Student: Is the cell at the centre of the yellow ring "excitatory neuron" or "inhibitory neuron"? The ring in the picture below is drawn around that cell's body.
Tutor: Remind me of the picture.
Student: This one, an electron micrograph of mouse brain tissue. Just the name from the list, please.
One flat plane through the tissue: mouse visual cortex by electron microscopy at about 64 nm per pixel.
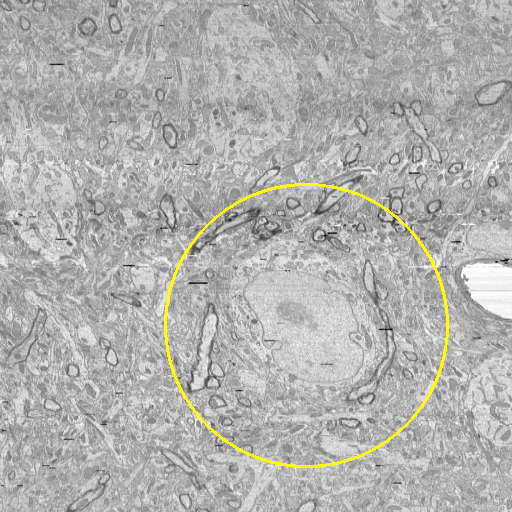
inhibitory neuron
